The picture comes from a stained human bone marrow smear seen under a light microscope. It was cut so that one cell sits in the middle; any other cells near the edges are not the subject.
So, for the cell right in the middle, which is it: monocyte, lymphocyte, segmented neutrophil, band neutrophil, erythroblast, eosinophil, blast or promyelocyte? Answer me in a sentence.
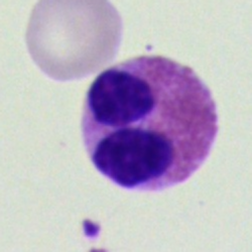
The central cell shown in this smear crop is an eosinophil.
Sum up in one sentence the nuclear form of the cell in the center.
The key feature is a nucleus with multiple lobes.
